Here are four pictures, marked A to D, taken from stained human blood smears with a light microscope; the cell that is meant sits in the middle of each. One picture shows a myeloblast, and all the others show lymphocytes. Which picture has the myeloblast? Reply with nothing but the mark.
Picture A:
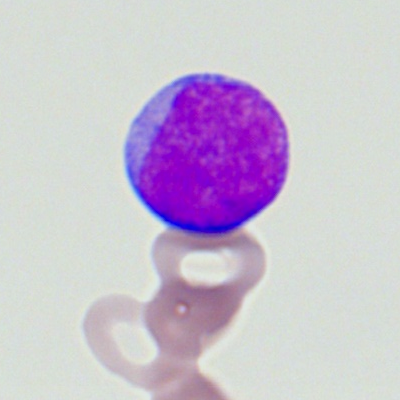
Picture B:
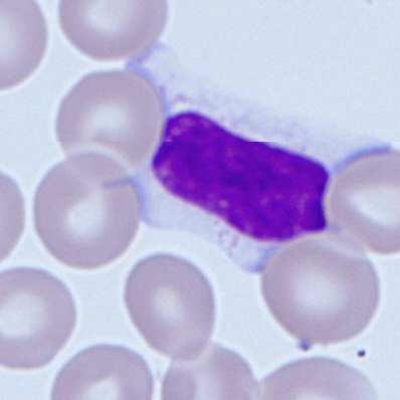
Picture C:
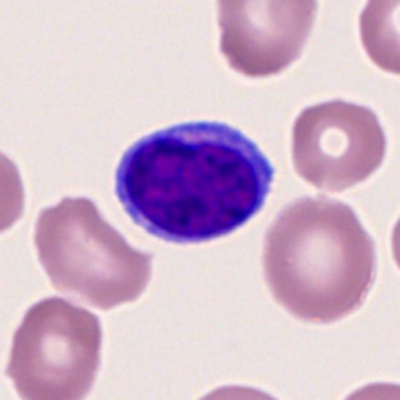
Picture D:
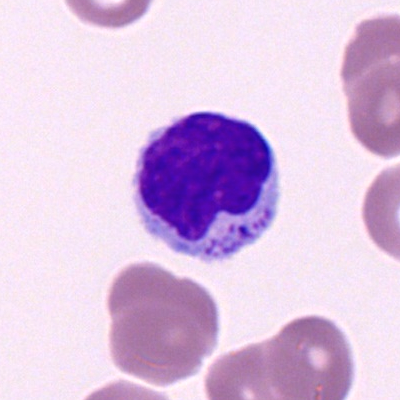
A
